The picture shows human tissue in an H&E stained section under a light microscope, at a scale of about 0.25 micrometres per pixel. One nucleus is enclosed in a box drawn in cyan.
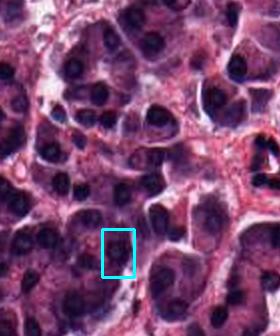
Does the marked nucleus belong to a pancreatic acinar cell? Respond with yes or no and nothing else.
yes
